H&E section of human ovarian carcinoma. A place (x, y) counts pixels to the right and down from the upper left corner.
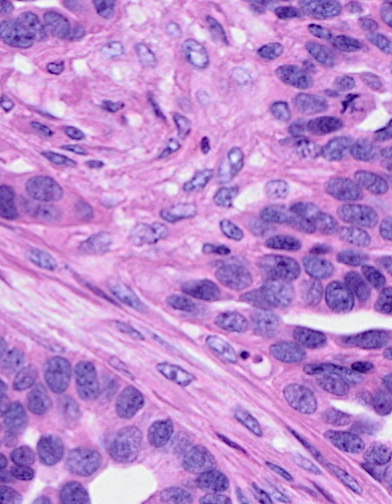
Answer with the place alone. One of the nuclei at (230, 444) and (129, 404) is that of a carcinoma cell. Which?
(129, 404)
